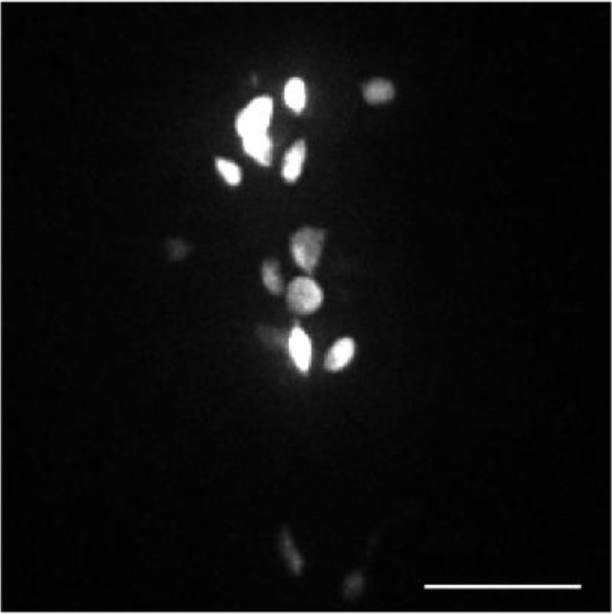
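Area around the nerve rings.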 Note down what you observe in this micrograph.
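About a dozen bright, sharply bounded oval to elongated bodies stand out. They lie in an upper cluster and a middle cluster, with a few fainter bodies scattered toward the bottom. Their brightness is fairly uniform within each body, and their edges are crisp, so they read as compact bright puncta rather than diffuse staining. The surrounding background is dark and largely featureless.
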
